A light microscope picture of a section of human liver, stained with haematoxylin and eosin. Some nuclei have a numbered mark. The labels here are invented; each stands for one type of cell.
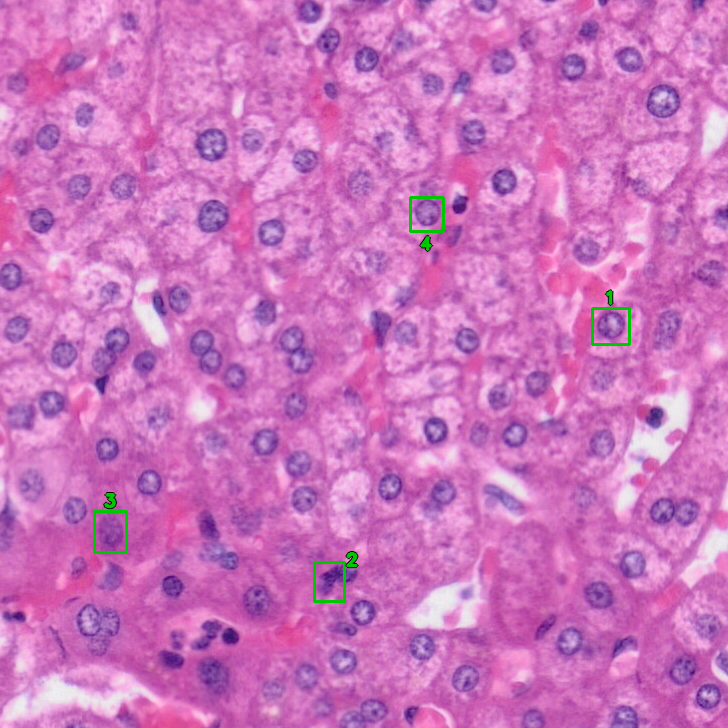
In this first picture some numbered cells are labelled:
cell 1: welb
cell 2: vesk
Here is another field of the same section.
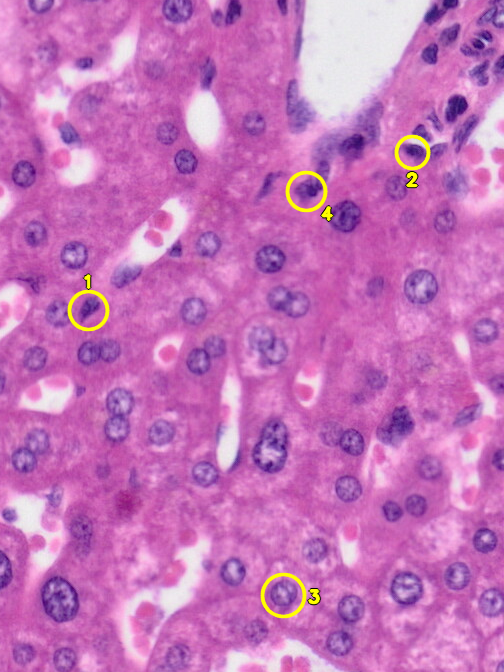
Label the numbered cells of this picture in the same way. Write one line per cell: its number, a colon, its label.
1: vesk
2: vesk
3: welb
4: vesk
